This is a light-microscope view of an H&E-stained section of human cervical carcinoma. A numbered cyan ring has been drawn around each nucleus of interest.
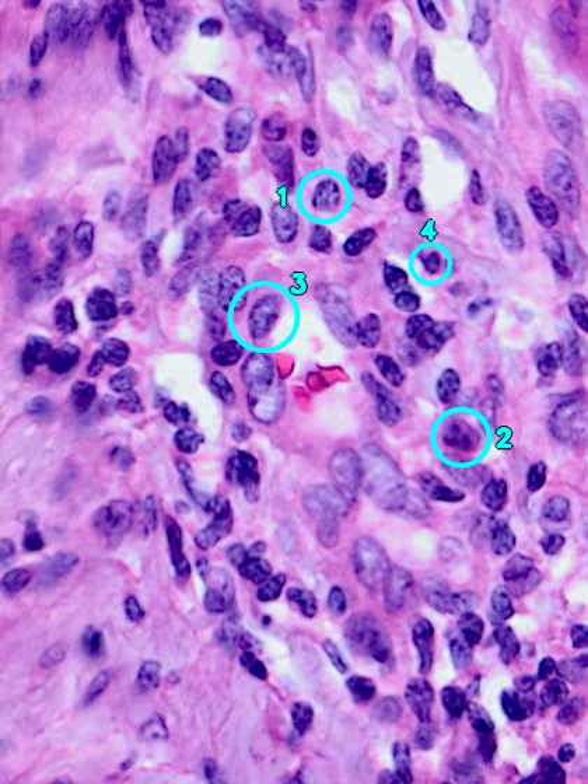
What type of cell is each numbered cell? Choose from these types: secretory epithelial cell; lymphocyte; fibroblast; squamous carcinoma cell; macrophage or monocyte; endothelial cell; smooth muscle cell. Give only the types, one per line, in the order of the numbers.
lymphocyte
macrophage or monocyte
endothelial cell
lymphocyte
